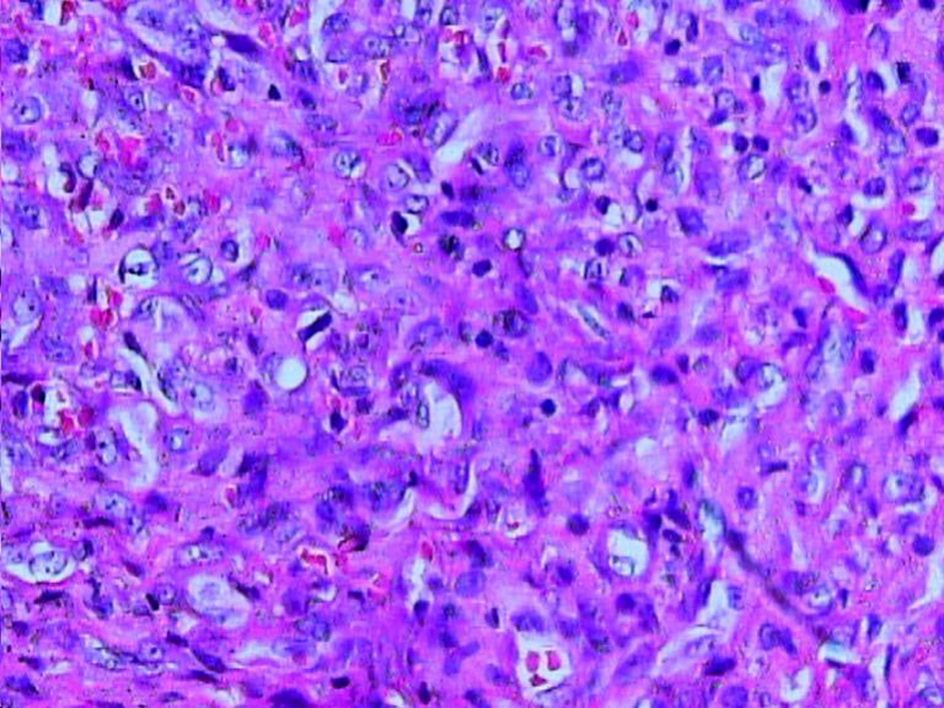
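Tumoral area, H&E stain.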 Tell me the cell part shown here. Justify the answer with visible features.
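The clear spaces push against or sit beside the purple nuclei. Some clear spaces hold small red bodies. The answer: clear intracytoplasmic vacuoles.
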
